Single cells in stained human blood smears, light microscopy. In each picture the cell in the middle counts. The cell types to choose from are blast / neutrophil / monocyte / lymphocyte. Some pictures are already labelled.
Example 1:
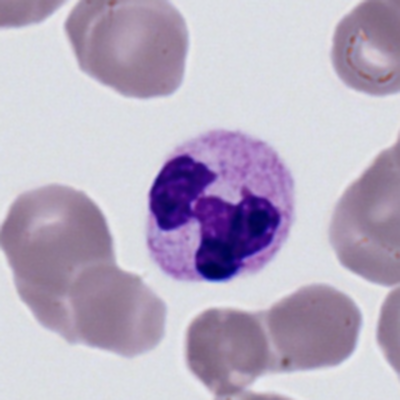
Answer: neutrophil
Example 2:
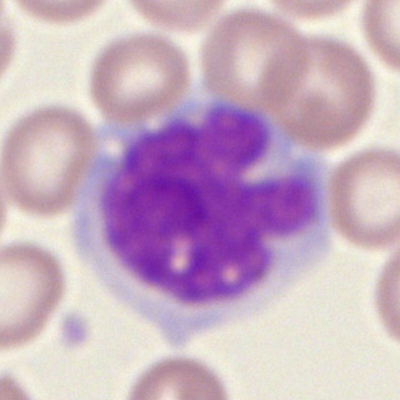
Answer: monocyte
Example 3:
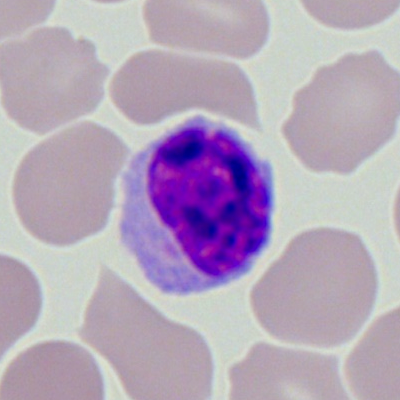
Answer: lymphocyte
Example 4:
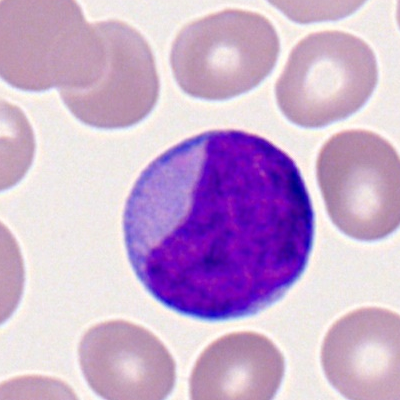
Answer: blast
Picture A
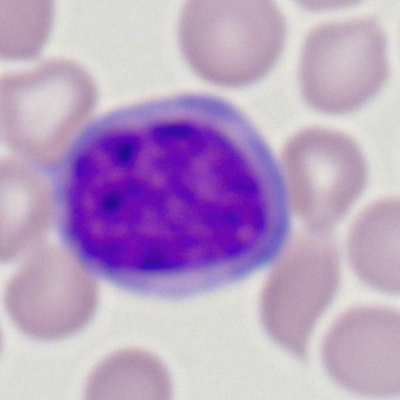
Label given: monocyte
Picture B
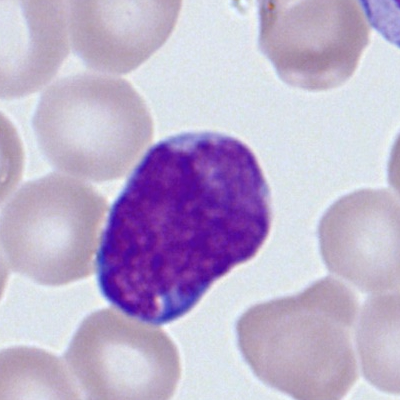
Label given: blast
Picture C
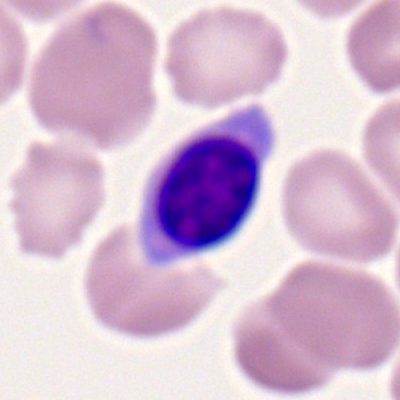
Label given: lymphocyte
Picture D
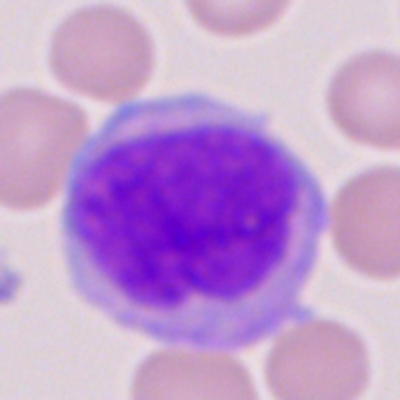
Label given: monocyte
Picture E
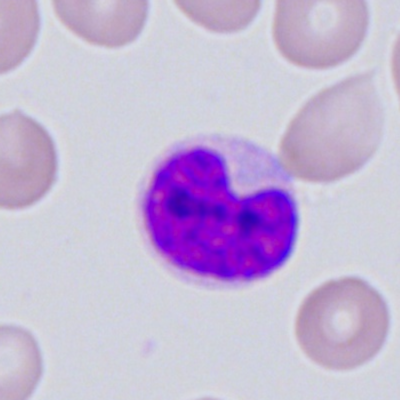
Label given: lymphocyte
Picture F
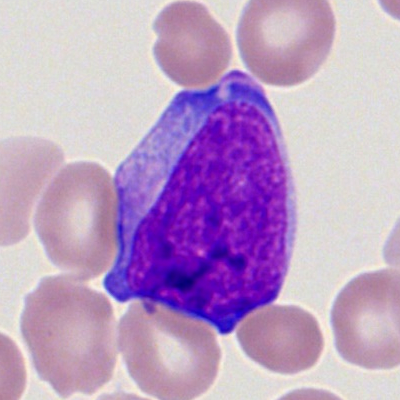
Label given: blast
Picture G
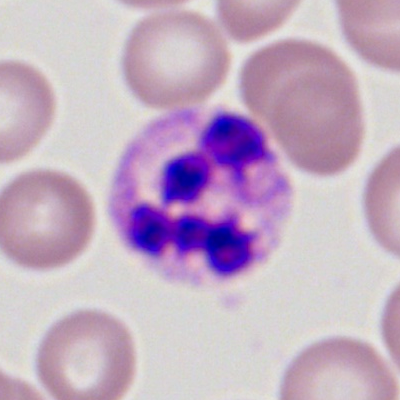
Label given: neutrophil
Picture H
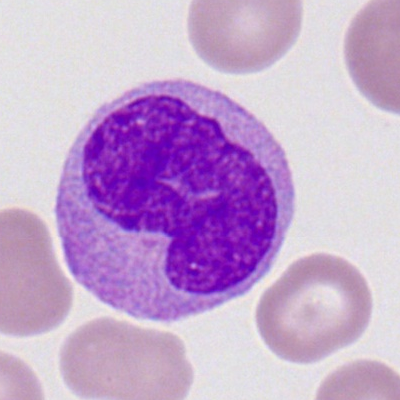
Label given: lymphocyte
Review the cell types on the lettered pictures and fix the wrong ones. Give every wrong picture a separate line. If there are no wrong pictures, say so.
H: change lymphocyte to monocyte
